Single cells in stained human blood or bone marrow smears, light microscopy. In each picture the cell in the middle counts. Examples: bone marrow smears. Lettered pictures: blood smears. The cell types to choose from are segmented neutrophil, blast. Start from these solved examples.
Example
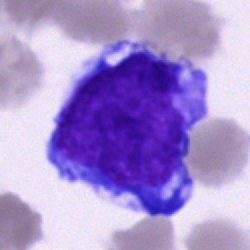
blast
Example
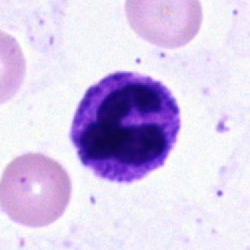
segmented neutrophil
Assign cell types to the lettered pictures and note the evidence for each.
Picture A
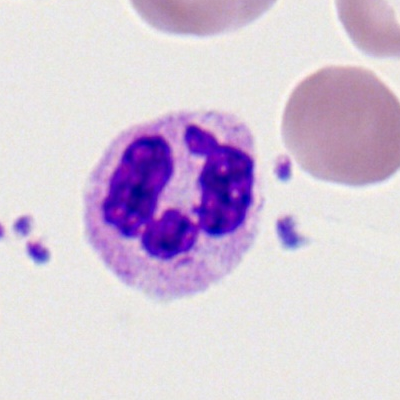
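Label: segmented neutrophil. The nucleus is divided into several separate lobes grouped around a paler central area.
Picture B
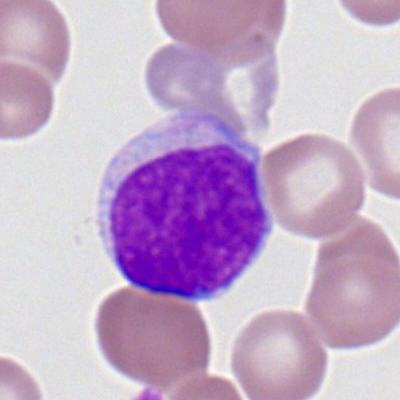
Label: blast. The nucleus fills most of the cell and sits toward the lower right.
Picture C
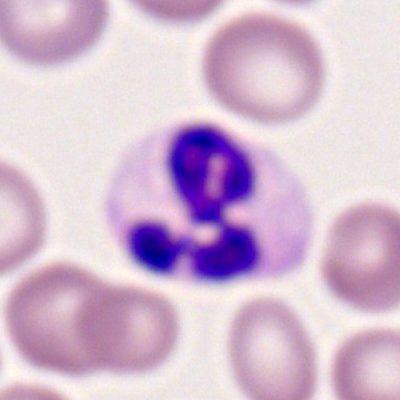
Label: segmented neutrophil. The cytoplasm is plentiful and pale pinkish-lilac.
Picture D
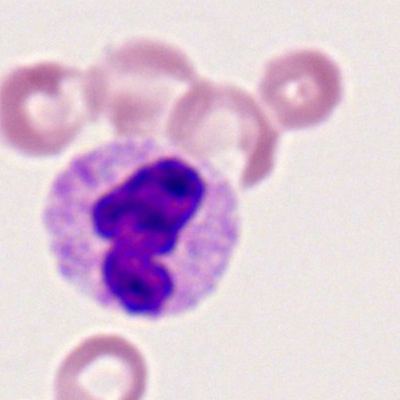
Label: segmented neutrophil. The nucleus is divided into two lobes, one above the other.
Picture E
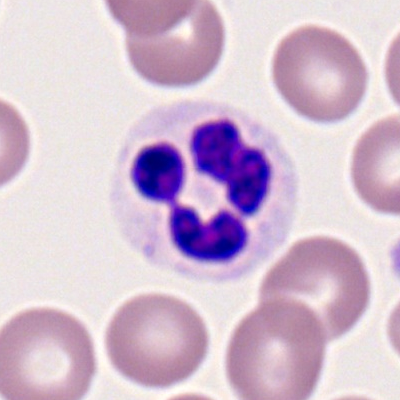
Label: segmented neutrophil. The cytoplasm is abundant and pale pinkish-lilac.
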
